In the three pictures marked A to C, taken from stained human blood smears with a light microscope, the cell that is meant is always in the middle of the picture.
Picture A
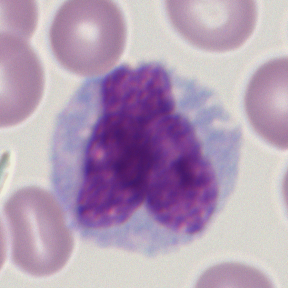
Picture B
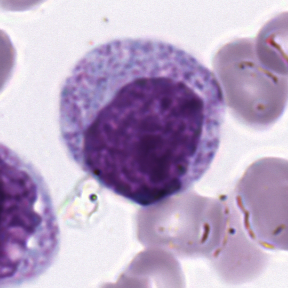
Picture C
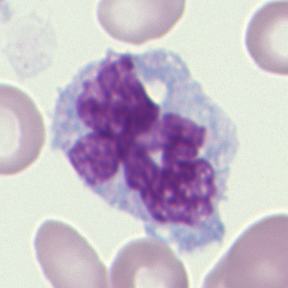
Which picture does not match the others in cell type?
B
